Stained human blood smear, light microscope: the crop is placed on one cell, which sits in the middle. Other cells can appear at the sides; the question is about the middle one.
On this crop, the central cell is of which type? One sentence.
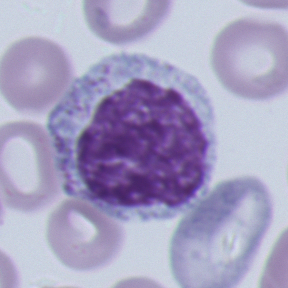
At the middle of the frame sits a myelocyte.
